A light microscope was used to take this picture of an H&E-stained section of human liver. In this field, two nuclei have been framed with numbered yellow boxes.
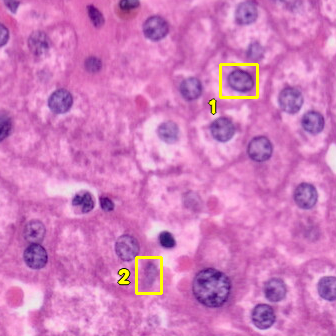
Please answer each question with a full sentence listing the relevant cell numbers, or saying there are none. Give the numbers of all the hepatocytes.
Only the cell numbered 1 is a hepatocyte; none of the others is.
